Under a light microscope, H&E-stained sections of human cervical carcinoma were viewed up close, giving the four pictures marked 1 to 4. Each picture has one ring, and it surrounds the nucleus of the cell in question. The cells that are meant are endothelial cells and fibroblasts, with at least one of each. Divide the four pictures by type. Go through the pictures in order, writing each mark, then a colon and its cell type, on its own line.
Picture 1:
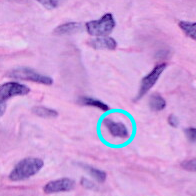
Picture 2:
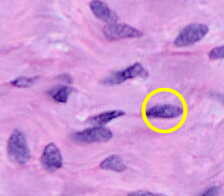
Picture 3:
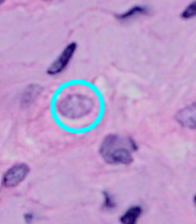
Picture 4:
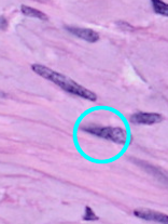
1: fibroblast
2: fibroblast
3: endothelial cell
4: fibroblast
